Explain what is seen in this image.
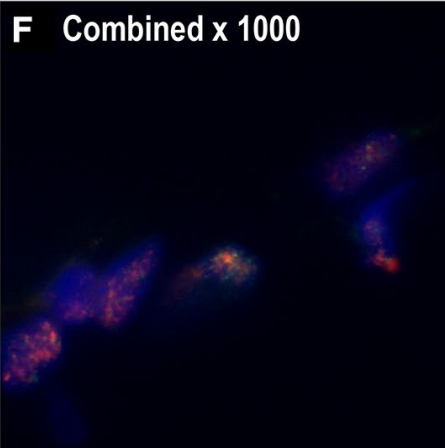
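The nuclei are oval to elongated and stain diffusely blue, with soft, somewhat out-of-focus edges. Within most of them lies a fine, granular speckling of red dots. In some nuclei, especially one near the middle of the field, the speckles appear yellow-orange where red and green overlap. A small, intensely red spot sits at the lower end of one nucleus on the right.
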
